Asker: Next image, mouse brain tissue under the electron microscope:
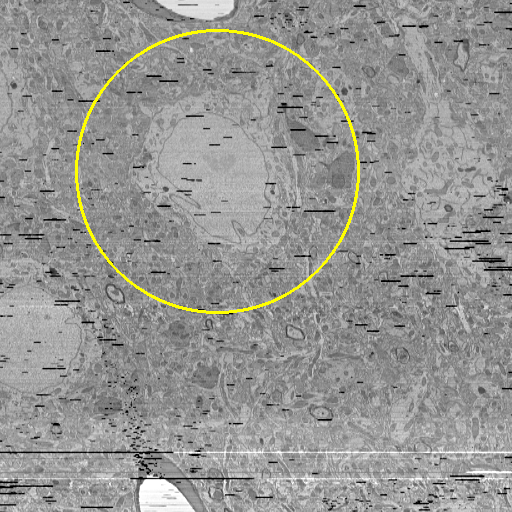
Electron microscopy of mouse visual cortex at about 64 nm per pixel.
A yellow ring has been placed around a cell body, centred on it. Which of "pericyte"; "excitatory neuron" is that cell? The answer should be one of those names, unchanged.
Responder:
excitatory neuron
